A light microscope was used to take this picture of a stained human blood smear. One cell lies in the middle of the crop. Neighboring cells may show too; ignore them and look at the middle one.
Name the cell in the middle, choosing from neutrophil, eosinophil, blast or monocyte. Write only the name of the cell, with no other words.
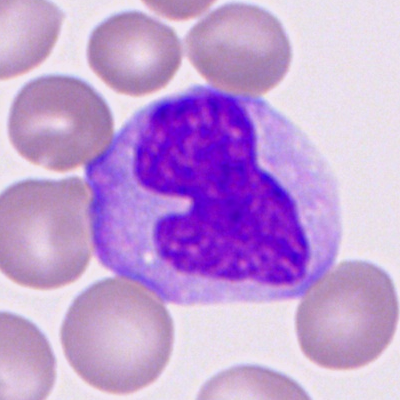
monocyte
